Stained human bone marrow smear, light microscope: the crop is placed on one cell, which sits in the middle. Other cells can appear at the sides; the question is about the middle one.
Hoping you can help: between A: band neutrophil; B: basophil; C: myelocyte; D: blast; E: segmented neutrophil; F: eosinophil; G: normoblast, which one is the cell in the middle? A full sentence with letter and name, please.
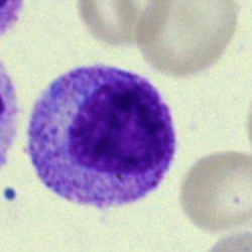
The cell in the center of this crop is a myelocyte, so option C is the one to pick.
